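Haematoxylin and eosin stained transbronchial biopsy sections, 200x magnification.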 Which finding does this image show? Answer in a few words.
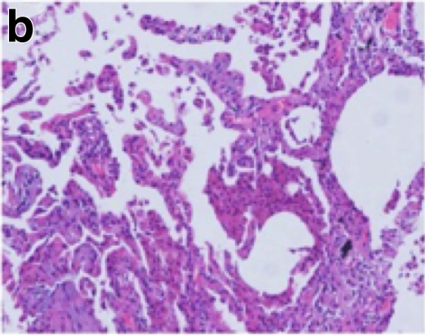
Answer: obliteration of alveolar architecture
